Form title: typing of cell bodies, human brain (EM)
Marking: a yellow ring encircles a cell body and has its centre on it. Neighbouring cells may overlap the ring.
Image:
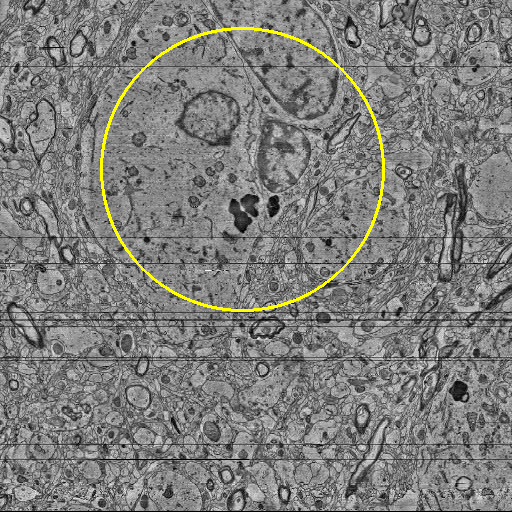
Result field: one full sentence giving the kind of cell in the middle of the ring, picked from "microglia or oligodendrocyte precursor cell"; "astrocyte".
In the picture, the ring is centred on a microglial cell or oligodendrocyte precursor cell, whose cell body it encircles.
